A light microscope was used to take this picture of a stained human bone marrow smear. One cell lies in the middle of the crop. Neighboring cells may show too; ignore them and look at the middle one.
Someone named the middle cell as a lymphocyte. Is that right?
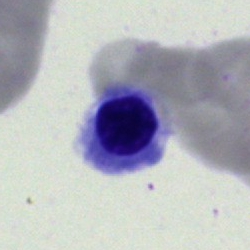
no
